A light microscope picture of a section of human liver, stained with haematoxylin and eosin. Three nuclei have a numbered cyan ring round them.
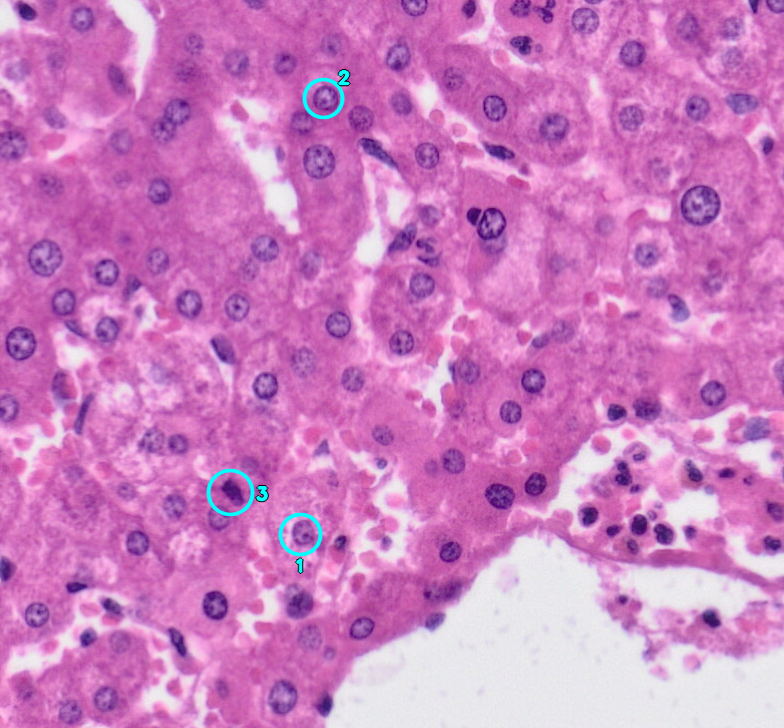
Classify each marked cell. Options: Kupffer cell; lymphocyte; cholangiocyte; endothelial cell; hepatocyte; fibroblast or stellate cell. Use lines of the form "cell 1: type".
cell 1: hepatocyte
cell 2: hepatocyte
cell 3: fibroblast or stellate cell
